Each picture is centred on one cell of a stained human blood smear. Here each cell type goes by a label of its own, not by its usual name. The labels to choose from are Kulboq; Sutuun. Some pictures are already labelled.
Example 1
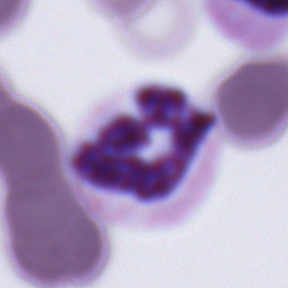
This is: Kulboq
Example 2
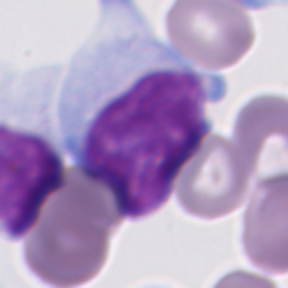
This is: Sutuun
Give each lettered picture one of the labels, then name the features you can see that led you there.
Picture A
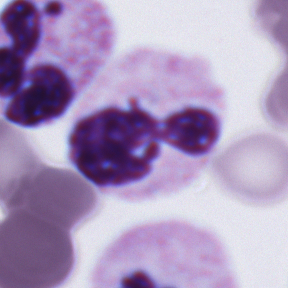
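Kulboq. Reason: Abundant pale pink cytoplasm surrounds the nucleus.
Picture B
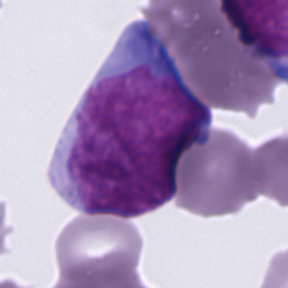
Sutuun. Reason: The nucleus fills most of the cell.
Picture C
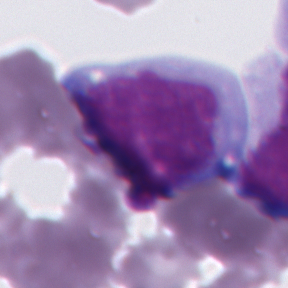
Sutuun. Reason: The nucleus is large and fills most of the cell.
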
